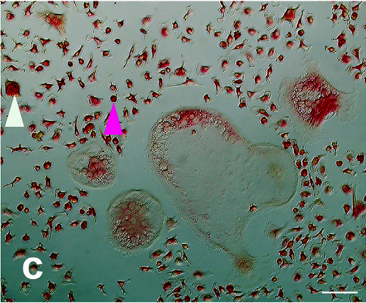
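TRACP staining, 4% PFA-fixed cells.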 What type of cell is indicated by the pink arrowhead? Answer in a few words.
Mononuclear cells.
